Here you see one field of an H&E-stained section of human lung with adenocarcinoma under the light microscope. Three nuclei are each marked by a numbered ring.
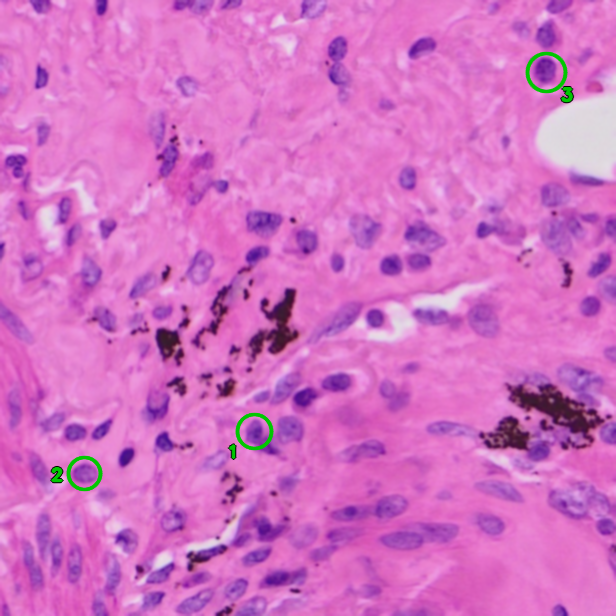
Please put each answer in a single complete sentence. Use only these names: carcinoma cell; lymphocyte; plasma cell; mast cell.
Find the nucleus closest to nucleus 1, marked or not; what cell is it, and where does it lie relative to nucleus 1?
It is a plasma cell, whose nucleus lies below and to the right of nucleus 1.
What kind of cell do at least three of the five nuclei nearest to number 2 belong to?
Of the five nuclei nearest to number 2, most belong to mast cells.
